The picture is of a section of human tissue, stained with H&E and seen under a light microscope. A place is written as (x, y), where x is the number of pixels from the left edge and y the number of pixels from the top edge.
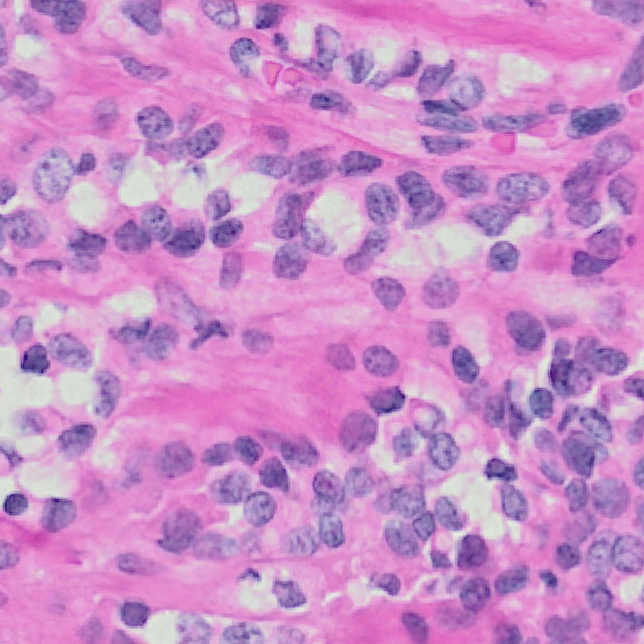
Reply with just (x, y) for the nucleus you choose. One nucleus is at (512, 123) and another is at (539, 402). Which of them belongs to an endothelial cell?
(512, 123)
